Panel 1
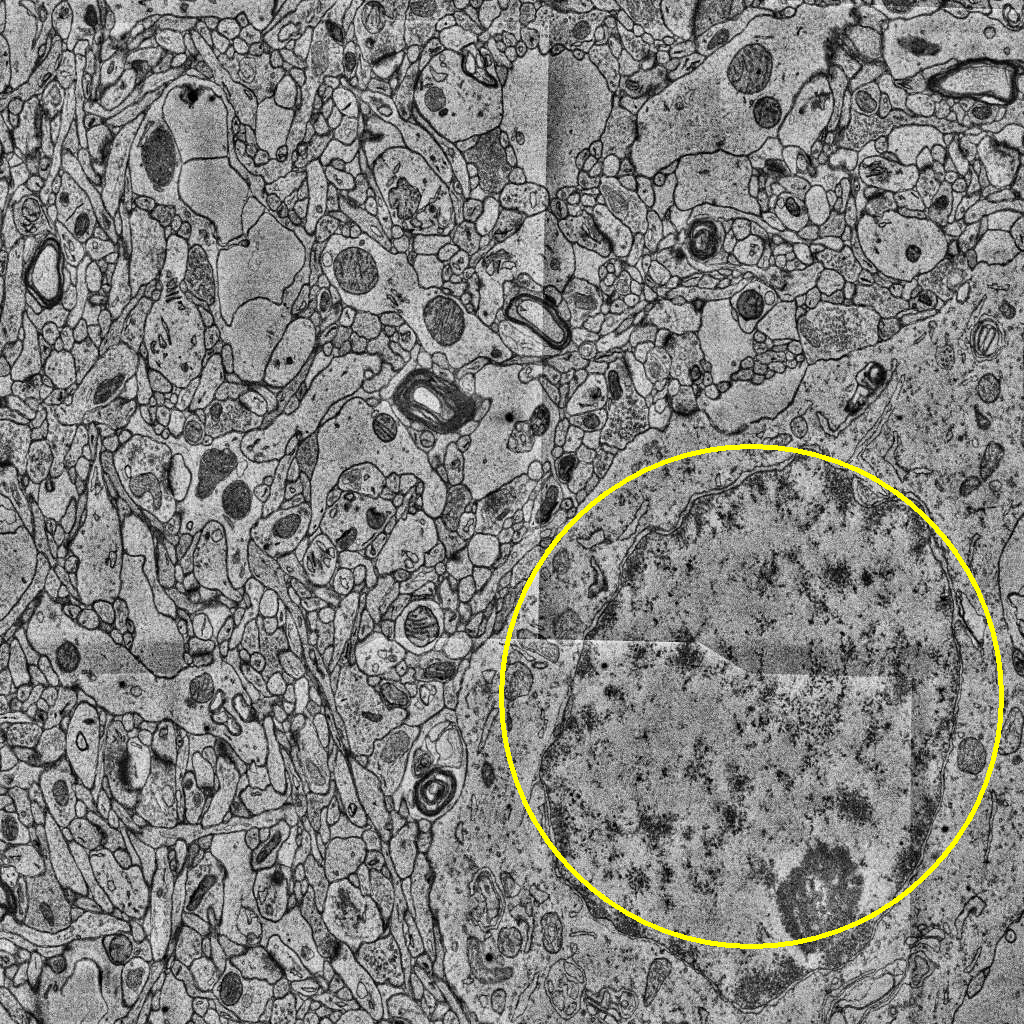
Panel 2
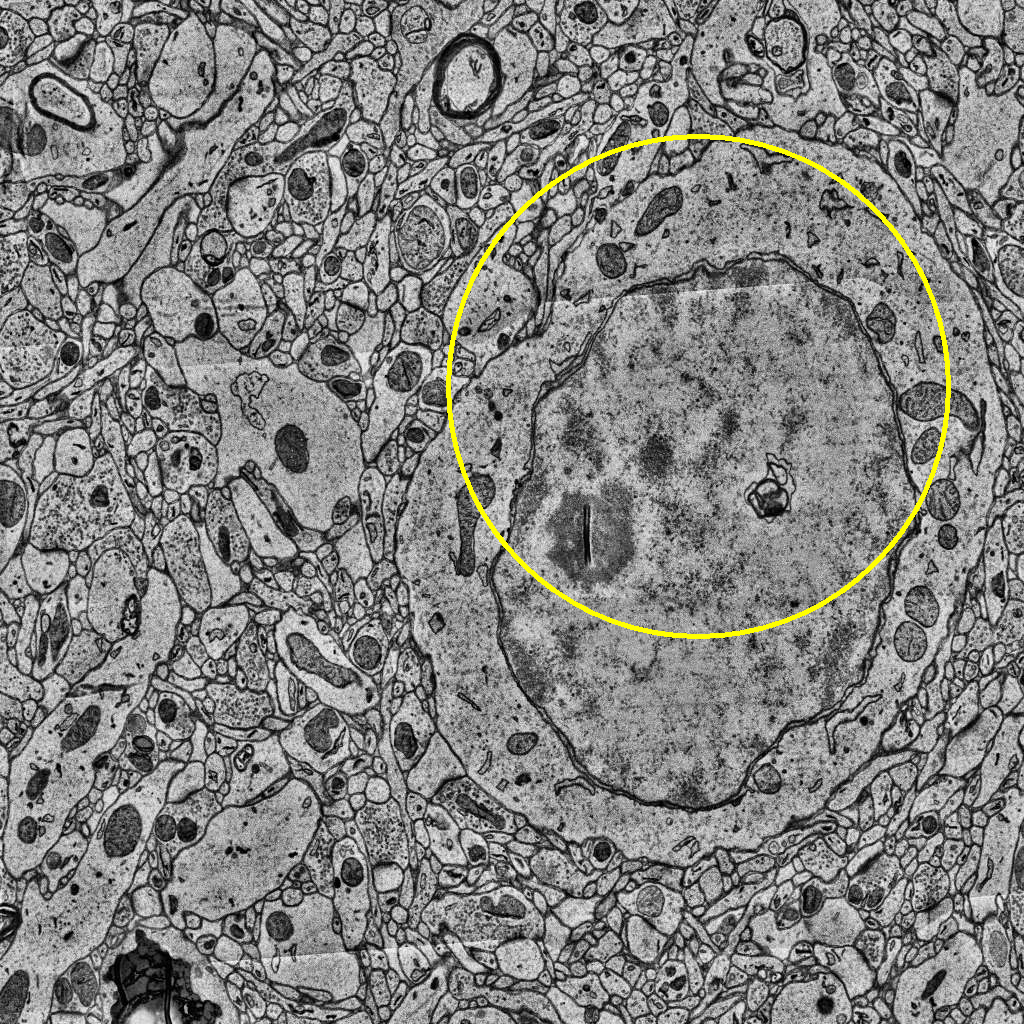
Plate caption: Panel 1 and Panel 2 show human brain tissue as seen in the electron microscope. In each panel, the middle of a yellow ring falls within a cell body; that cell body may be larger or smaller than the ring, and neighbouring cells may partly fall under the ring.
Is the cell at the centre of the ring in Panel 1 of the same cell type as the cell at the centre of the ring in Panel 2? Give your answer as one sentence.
Yes, the two cells are of the same type.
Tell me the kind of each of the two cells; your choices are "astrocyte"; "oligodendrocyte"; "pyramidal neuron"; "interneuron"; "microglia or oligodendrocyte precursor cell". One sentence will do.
The cell at the ring centre is an interneuron in both pictures.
